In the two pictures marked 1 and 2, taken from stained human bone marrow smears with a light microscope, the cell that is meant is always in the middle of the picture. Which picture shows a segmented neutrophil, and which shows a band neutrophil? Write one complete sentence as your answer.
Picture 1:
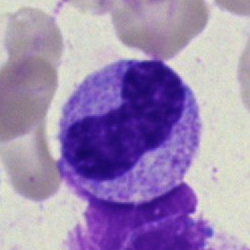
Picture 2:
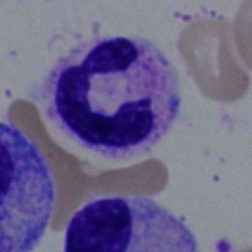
Picture 1 shows a band neutrophil and picture 2 shows a segmented neutrophil.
